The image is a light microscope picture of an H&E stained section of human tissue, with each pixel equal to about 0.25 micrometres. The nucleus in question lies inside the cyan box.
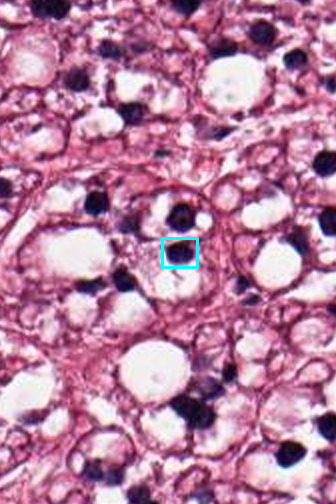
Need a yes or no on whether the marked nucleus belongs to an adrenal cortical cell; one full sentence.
Yes, the marked nucleus is a nucleus of an adrenal cortical cell.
